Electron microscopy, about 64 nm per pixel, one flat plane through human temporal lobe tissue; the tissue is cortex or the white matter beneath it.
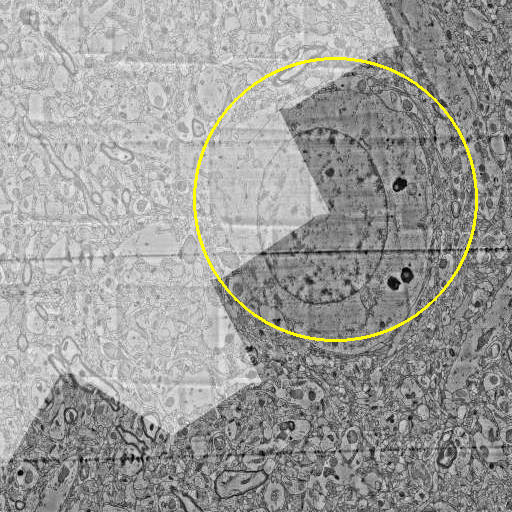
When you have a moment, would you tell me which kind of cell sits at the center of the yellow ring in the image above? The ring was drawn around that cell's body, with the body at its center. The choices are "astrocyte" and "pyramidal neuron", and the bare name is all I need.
pyramidal neuron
